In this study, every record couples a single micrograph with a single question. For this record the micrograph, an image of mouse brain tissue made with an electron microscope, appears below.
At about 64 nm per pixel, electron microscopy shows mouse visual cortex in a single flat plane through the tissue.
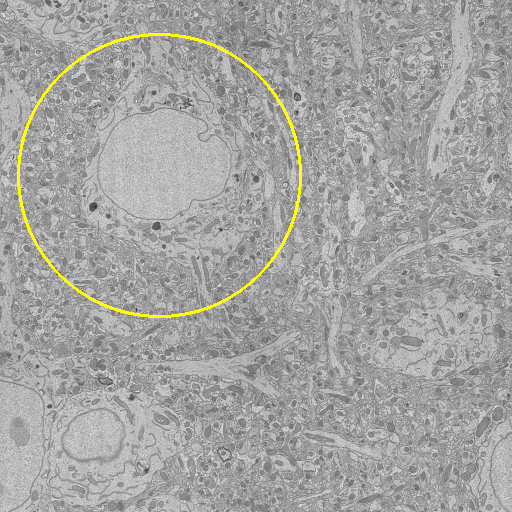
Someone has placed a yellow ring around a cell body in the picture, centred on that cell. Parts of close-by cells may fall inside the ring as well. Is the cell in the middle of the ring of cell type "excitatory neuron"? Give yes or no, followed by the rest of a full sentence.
Yes, the cell centred in the ring shown in the picture does have that cell type.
